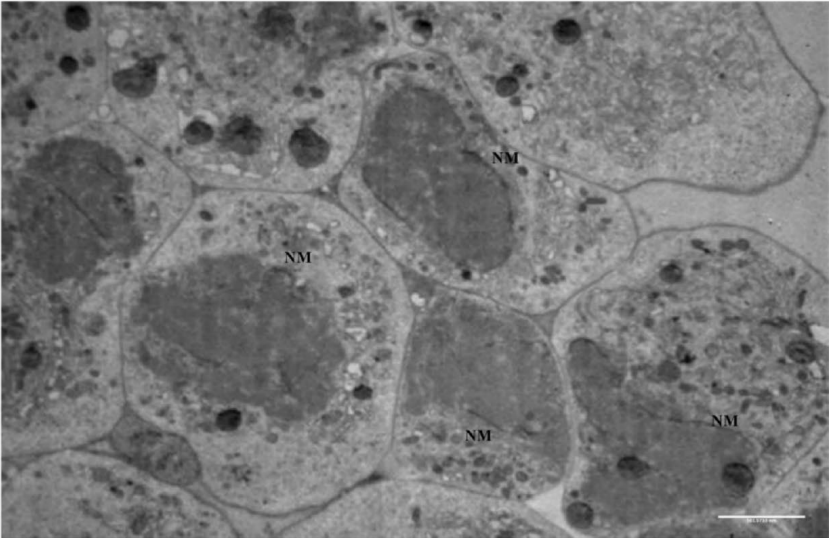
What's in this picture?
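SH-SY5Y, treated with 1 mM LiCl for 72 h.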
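Tightly packed polygonal spheroid cells with clear, continuous cell membranes between neighbours. The nuclei are large, evenly dark and less sharply bounded from the cytoplasm. The cytoplasm contains scattered dense round bodies and small vesicles.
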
